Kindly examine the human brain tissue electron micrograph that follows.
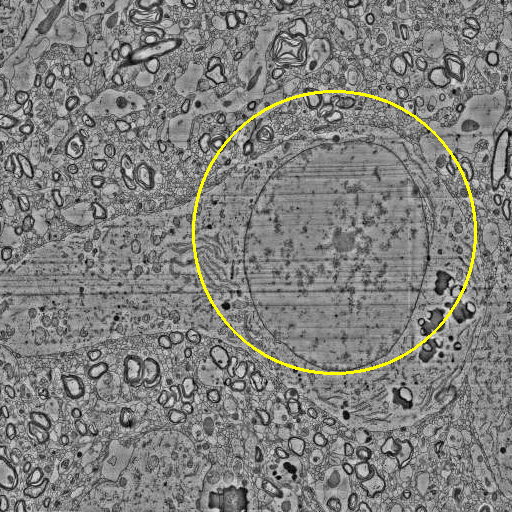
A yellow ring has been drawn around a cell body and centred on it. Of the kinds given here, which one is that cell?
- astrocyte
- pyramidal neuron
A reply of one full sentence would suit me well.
The micrograph's ringed cell, the one at the ring's centre, is a pyramidal neuron.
